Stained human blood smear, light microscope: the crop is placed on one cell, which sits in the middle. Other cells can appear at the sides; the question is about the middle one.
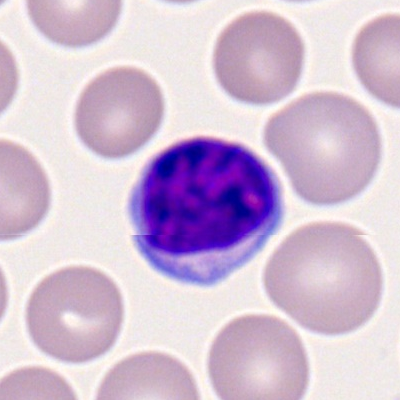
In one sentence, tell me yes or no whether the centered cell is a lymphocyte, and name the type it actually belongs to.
Yes, the cell found in the center of the crop is a lymphocyte.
